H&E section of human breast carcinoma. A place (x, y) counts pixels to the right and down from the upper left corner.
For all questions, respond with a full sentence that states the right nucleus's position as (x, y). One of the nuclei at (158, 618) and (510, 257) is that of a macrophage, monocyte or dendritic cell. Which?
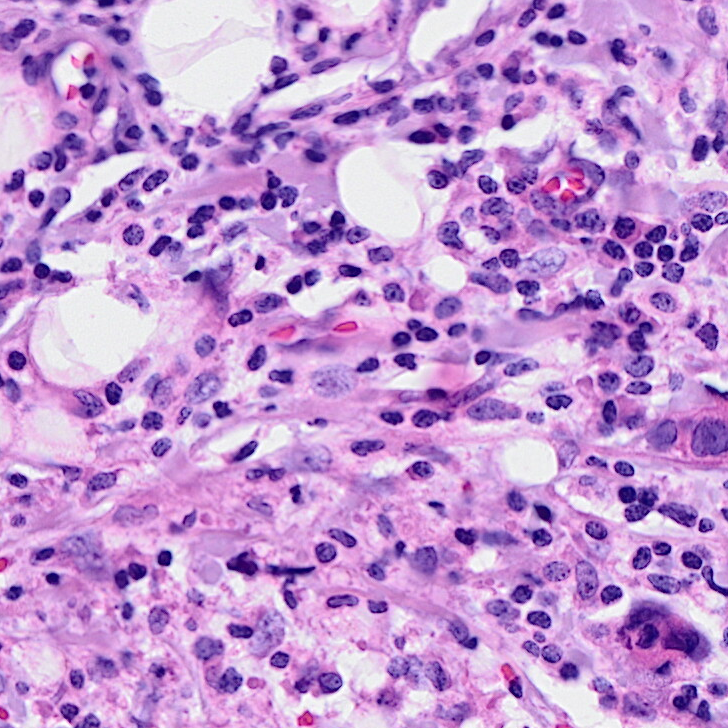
The nucleus contained in a macrophage, monocyte or dendritic cell is the one at (158, 618).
